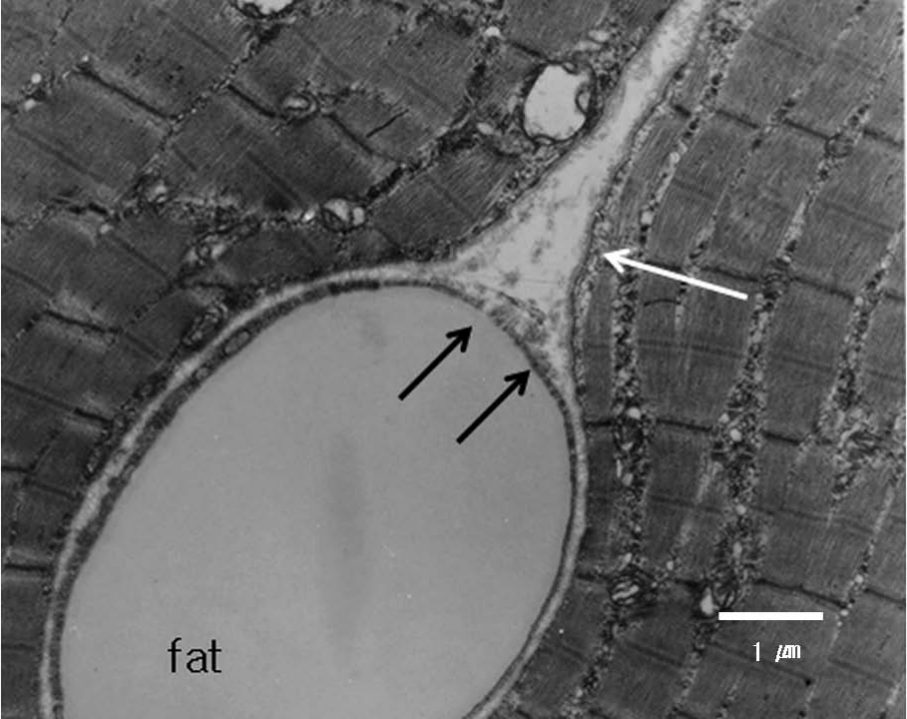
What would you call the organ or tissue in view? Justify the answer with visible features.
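Skeletal muscle. Parallel myofibrils with regular repeating cross-striations fill most of the field. Dark transverse lines recur at regular intervals along the fibrils. Small mitochondria lie in rows between the myofibrils.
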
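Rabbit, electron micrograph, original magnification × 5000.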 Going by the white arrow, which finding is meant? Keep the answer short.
Interstitial edema.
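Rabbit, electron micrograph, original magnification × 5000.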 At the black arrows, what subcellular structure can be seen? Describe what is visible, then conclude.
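Endothelium. The arrows point to the thin layer lining the oval lumen. The lining looks irregular and granular at the arrowed upper portion.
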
